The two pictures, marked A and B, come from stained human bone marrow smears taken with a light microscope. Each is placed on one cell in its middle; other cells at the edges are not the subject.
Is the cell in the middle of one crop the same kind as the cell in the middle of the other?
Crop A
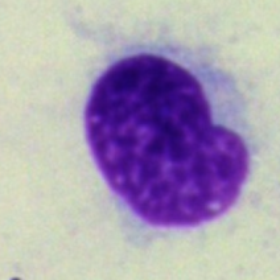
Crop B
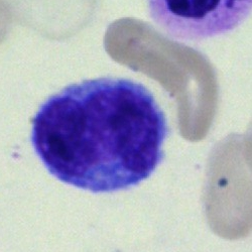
no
